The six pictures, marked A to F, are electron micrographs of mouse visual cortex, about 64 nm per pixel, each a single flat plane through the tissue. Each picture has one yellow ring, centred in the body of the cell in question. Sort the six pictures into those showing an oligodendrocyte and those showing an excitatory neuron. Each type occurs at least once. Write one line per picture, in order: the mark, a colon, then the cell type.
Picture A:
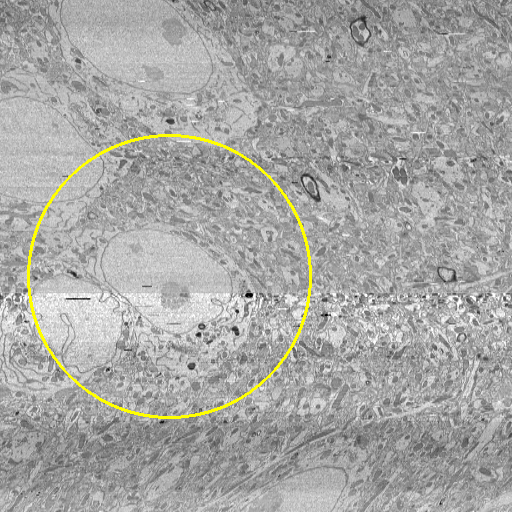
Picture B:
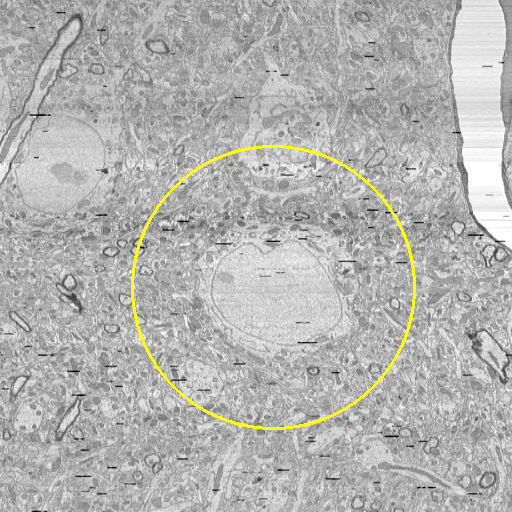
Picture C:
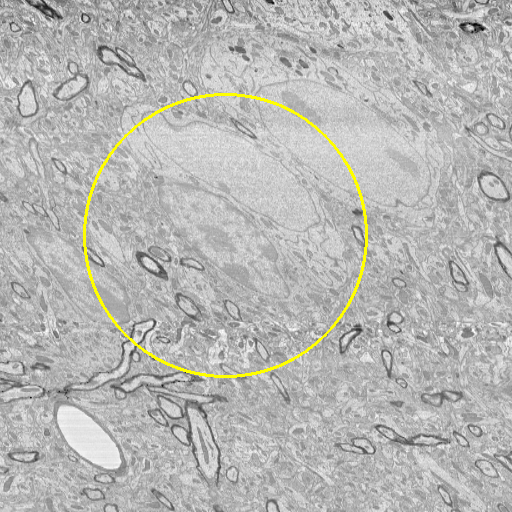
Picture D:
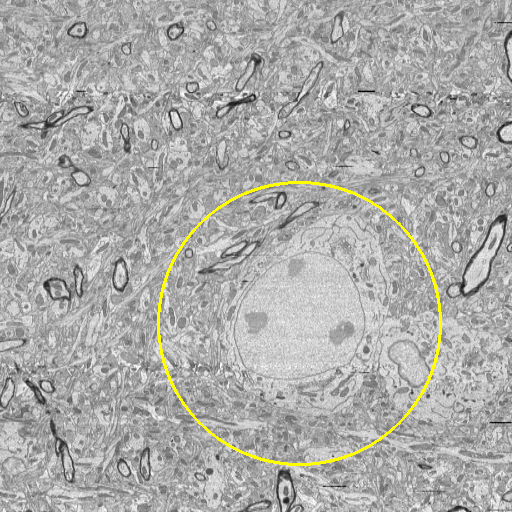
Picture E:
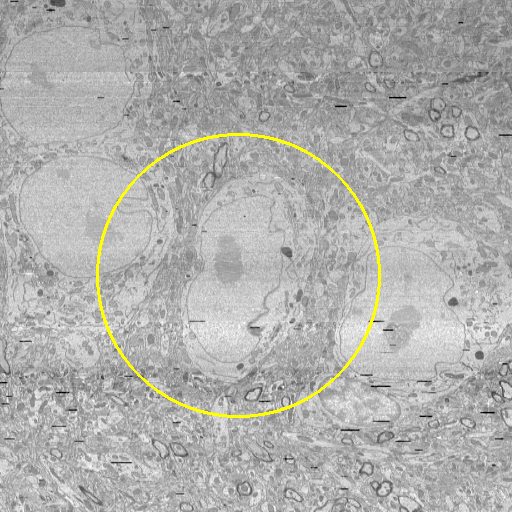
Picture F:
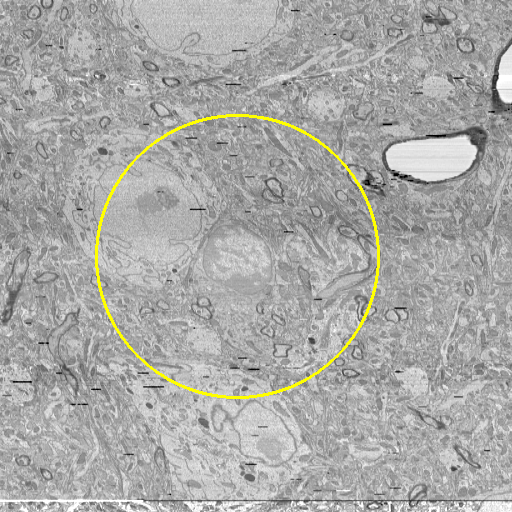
A: excitatory neuron
B: excitatory neuron
C: oligodendrocyte
D: excitatory neuron
E: excitatory neuron
F: oligodendrocyte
